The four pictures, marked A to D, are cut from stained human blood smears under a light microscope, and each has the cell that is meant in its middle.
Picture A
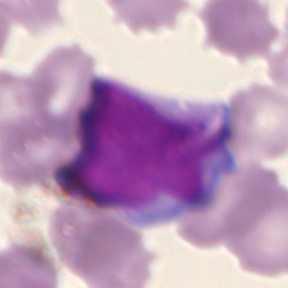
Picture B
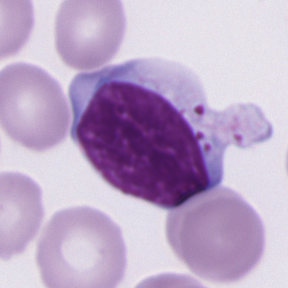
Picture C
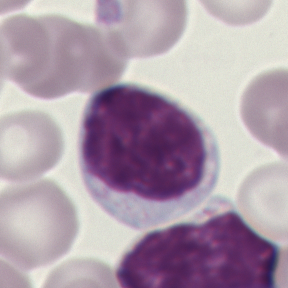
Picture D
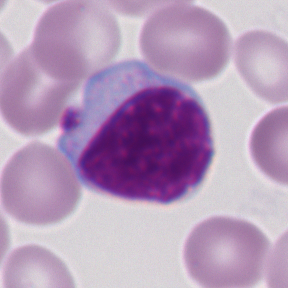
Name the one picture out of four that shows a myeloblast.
A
